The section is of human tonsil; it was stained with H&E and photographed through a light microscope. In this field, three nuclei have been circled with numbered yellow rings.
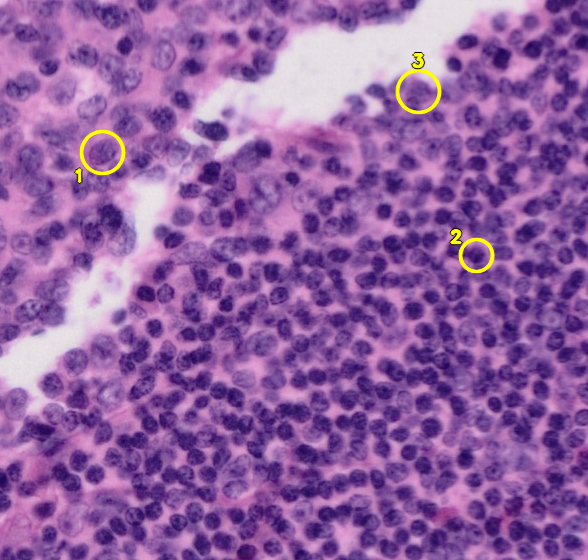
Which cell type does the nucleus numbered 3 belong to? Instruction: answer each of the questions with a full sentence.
Cell 3 in the field of view is a proliferating B cell.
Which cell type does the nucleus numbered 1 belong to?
The marked nucleus 1 is that of a proliferating B cell.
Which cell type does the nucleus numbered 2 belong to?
In this section, the cell numbered 2 is a small lymphocyte.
